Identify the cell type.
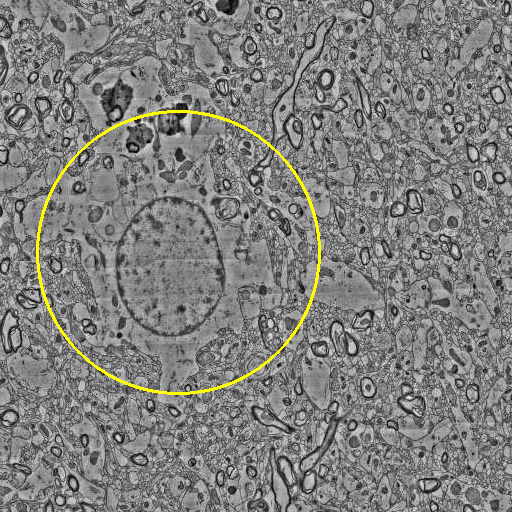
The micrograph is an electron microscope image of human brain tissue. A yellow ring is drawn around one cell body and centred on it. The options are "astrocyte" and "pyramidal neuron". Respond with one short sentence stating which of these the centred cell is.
The cell body in the ring belongs to an astrocyte.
